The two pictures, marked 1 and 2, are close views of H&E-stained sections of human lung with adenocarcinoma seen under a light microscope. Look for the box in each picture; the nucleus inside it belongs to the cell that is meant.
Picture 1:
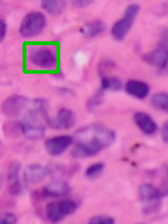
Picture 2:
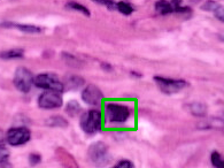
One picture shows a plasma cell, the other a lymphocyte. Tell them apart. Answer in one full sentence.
Picture 1 is of a plasma cell, and picture 2 is of a lymphocyte.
